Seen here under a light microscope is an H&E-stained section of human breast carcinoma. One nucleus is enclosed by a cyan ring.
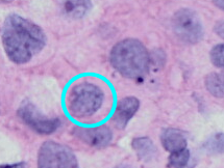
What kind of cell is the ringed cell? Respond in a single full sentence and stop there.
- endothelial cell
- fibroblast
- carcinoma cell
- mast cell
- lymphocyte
With respect to cell type, the ringed cell is a carcinoma cell.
